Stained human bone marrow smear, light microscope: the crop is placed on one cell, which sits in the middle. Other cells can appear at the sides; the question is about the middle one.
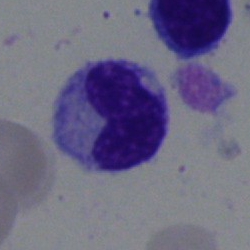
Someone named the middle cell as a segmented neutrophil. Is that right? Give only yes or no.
no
